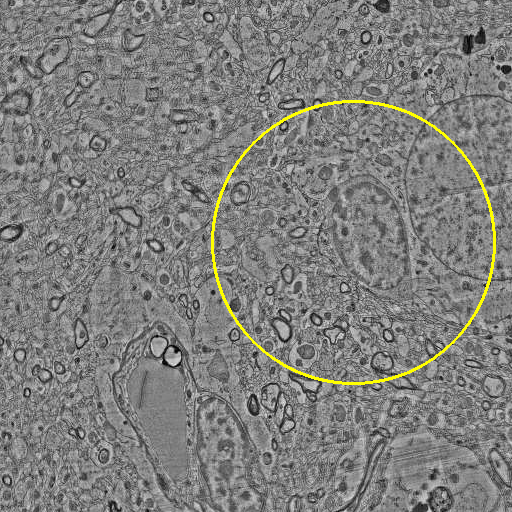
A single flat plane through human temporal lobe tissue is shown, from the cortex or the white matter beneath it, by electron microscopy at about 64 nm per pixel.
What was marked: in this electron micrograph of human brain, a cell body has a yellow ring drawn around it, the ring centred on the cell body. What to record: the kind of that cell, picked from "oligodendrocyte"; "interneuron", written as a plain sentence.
The centred cell is an oligodendrocyte.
